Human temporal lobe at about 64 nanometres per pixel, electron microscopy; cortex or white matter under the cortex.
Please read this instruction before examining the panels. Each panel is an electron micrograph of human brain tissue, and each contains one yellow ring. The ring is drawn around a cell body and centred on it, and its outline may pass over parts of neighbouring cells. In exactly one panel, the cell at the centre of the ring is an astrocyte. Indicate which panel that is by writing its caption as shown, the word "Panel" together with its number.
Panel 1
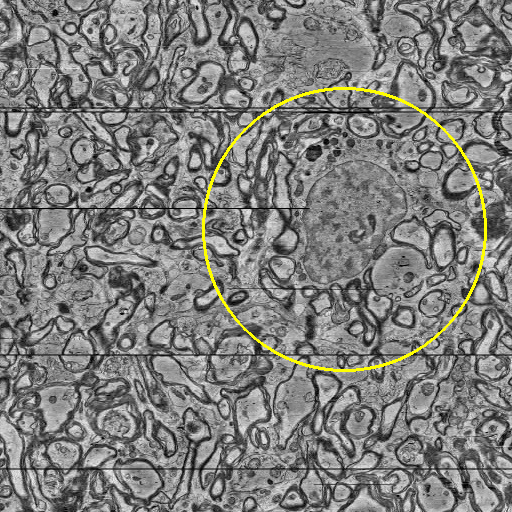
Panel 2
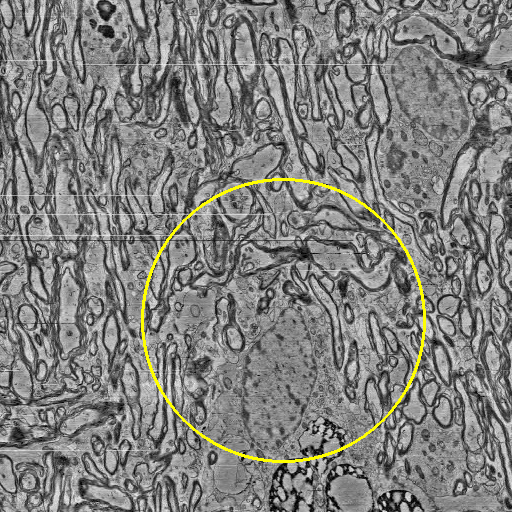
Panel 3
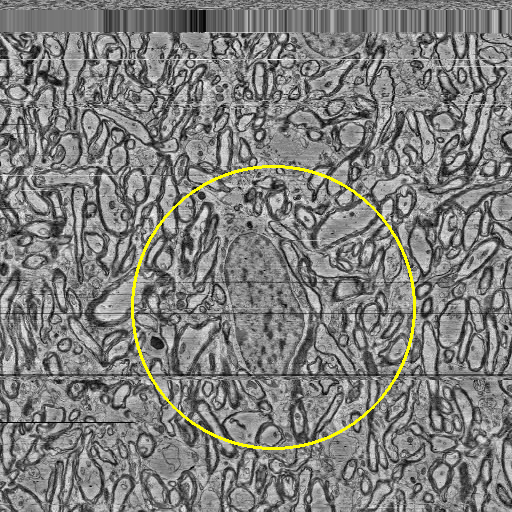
Panel 2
